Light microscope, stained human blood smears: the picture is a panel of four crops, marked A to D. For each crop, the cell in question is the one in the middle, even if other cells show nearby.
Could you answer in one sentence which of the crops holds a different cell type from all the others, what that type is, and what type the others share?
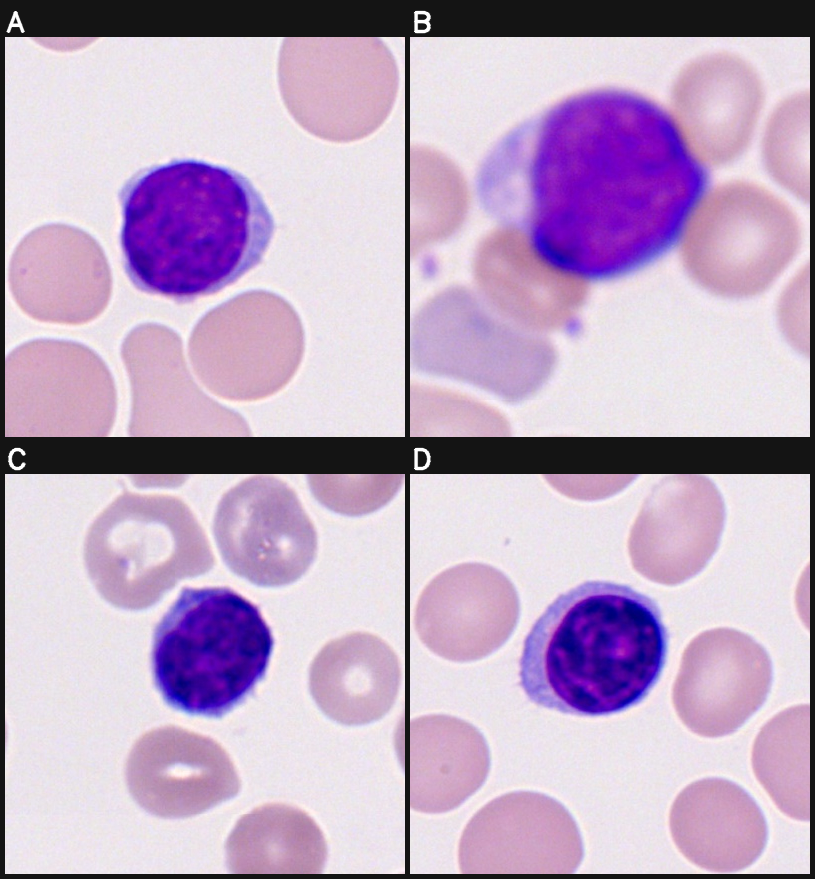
Crop B is the only crop with a myeloblast, the others all showing lymphocytes.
